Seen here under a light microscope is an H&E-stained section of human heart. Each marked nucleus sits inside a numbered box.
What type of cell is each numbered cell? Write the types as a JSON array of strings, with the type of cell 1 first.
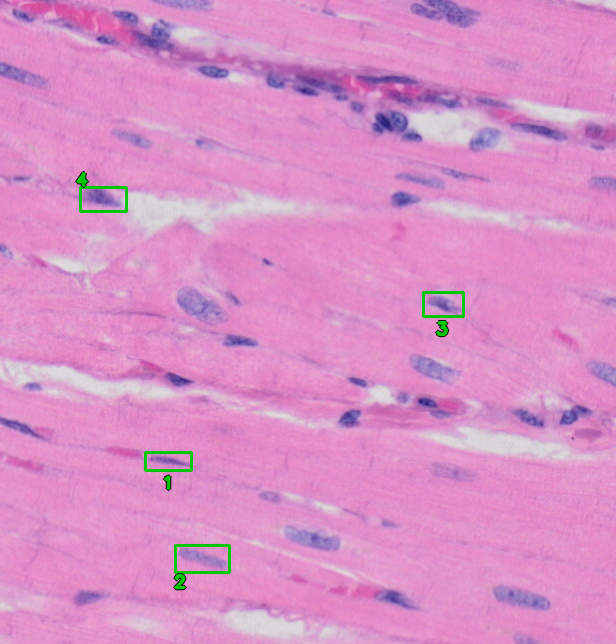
["endothelial cell", "cardiomyocyte", "endothelial cell", "endothelial cell"]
